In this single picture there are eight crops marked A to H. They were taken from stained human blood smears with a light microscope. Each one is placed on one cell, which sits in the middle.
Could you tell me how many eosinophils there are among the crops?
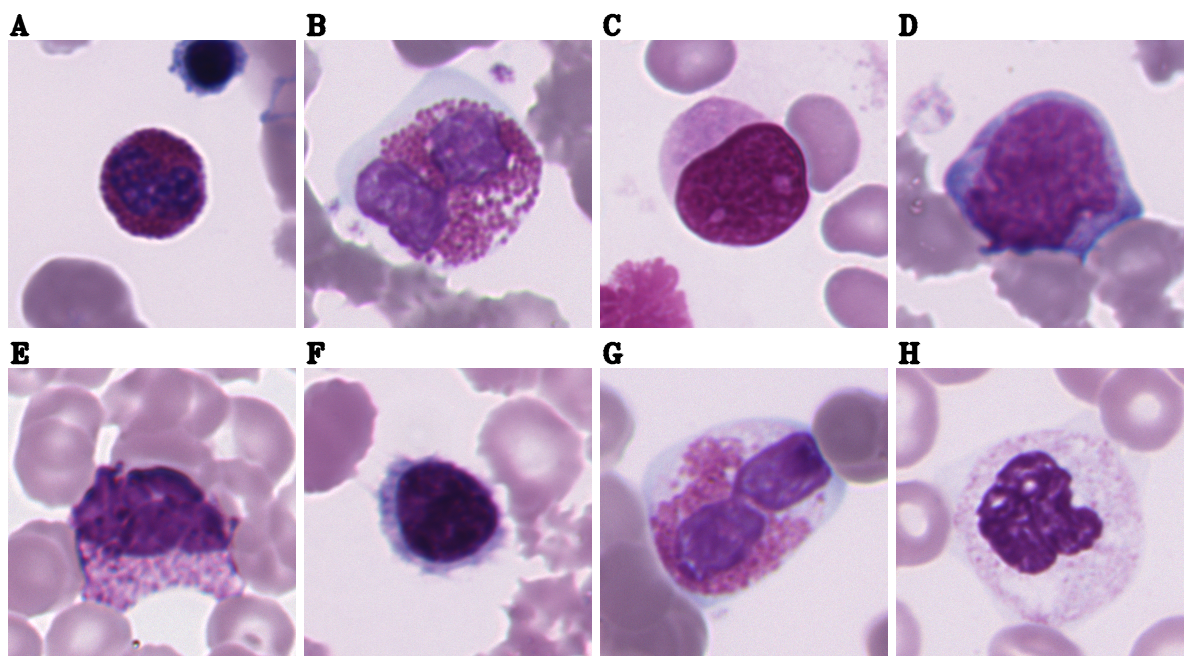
3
